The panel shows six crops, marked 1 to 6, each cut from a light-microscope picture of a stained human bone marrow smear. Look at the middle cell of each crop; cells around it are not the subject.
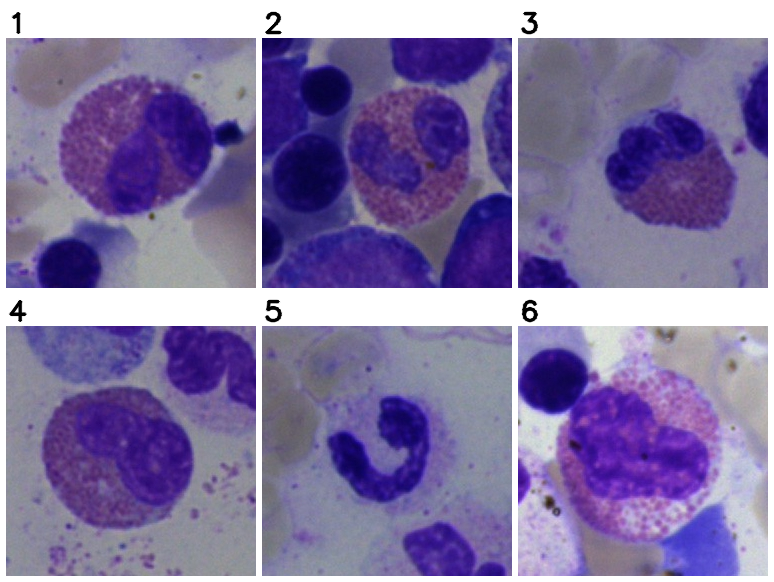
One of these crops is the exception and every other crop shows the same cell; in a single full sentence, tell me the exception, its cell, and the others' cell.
In this set, all crops show eosinophils apart from crop 5, which is a band neutrophil.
